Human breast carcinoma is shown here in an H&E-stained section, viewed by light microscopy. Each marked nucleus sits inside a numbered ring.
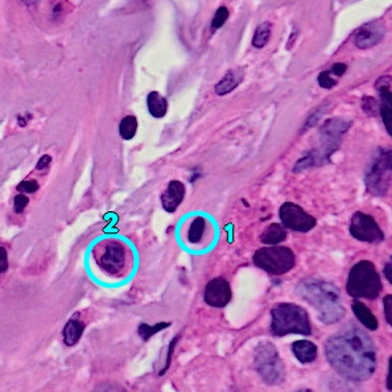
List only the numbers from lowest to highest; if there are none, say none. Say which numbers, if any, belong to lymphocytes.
1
